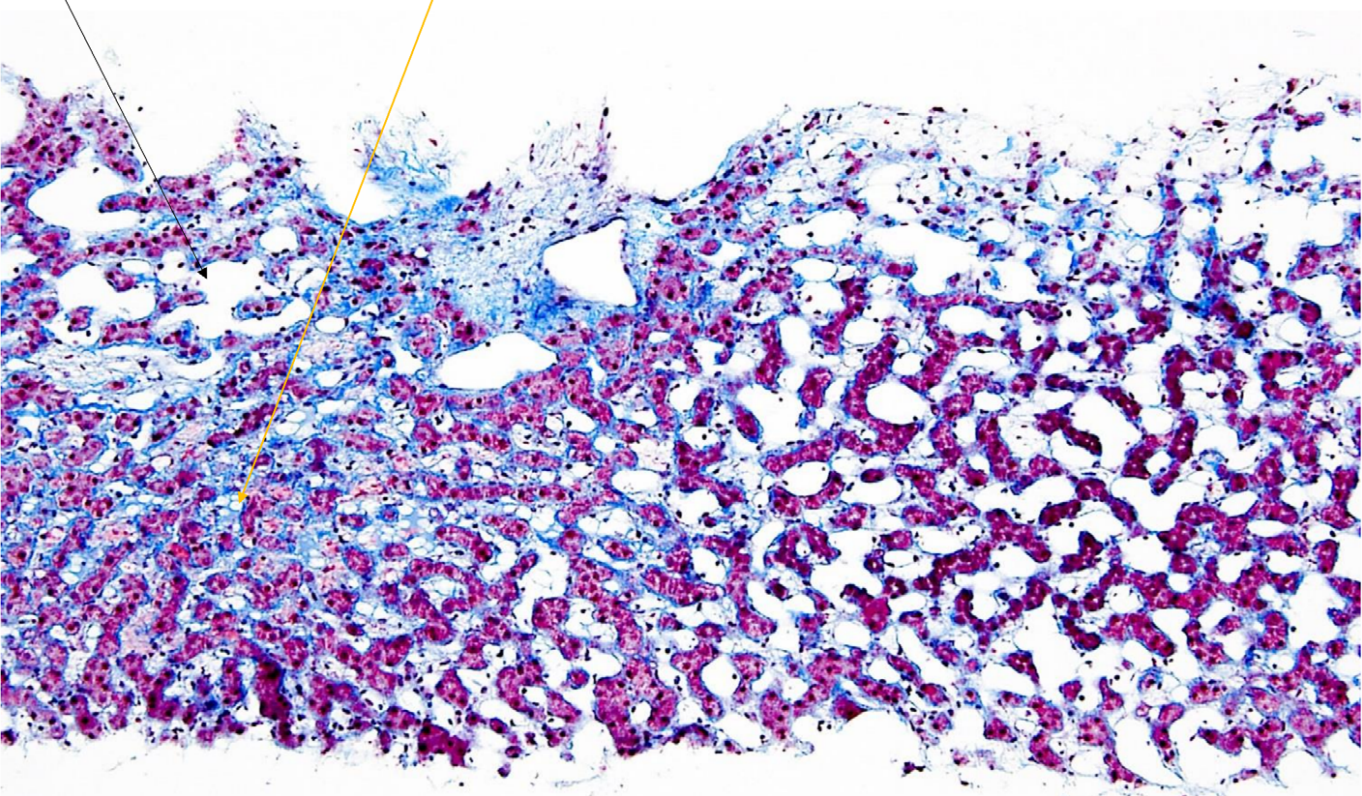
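This is liver, with plates of hepatocytes whose cytoplasm stains purple-red and whose nuclei are dark and round. Blue-stained fibrous tissue is laid down between the plates, following the sinusoids, and it gathers into a larger blue patch near the top of the section. The sinusoids are widened into broad empty spaces, so that the hepatocyte plates look thin and narrow, especially on the right. Here and there, small clear round vacuoles sit in the blue tissue between the plates.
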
